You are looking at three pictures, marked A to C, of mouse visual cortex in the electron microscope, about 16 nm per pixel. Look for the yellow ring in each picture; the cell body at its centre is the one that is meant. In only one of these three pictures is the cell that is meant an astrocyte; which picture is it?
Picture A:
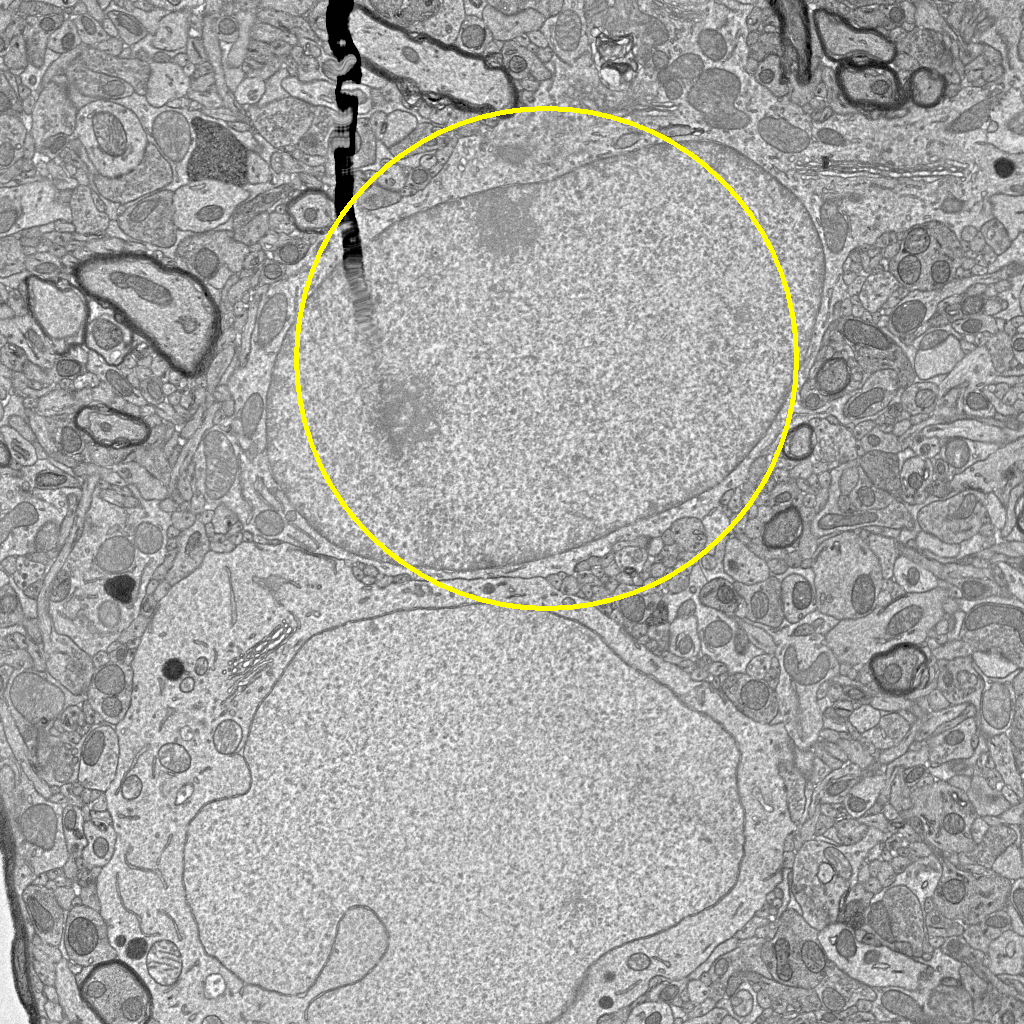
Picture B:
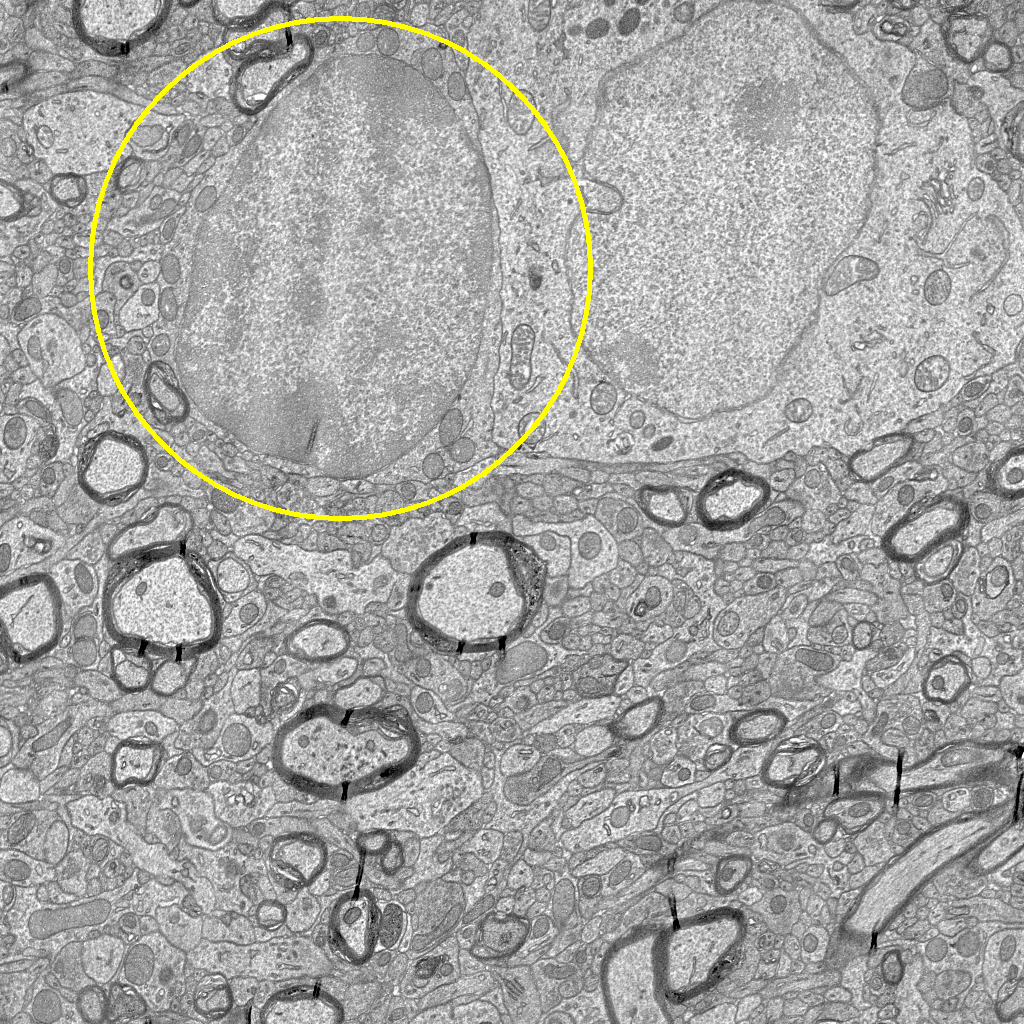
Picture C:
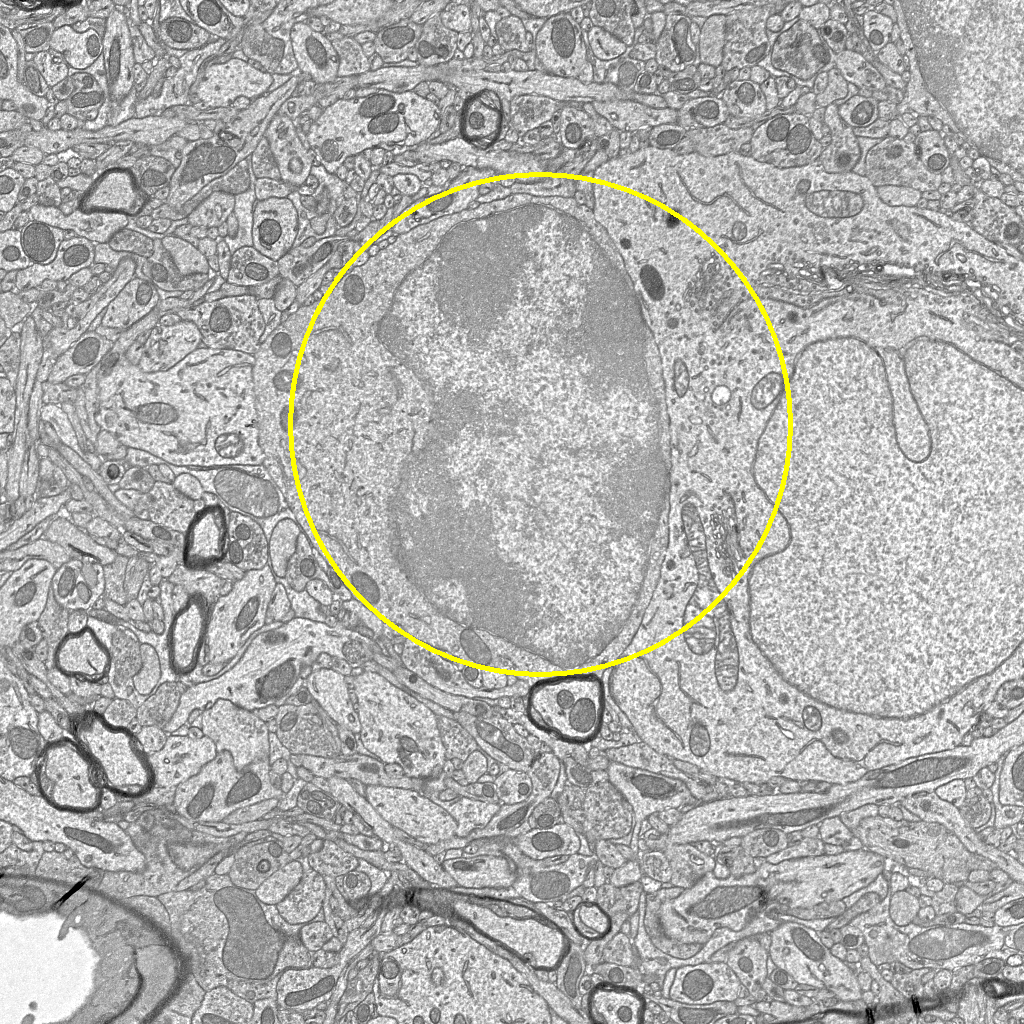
The cell in picture A is the astrocyte.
